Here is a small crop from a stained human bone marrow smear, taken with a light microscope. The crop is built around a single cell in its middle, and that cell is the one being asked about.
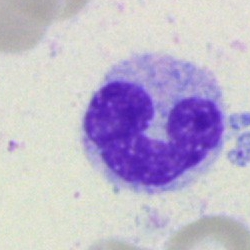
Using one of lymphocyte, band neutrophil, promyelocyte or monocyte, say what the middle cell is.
monocyte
